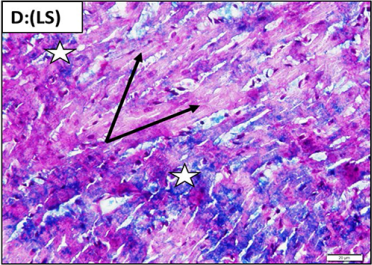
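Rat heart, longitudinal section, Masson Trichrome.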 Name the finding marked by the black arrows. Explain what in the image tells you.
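The fibres at the arrows are pale and lack crisp striated outlines.
Conclusion: degenerated cardiac muscle fibers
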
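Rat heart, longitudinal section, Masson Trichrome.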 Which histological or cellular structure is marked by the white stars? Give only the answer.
patches of fibrous tissue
